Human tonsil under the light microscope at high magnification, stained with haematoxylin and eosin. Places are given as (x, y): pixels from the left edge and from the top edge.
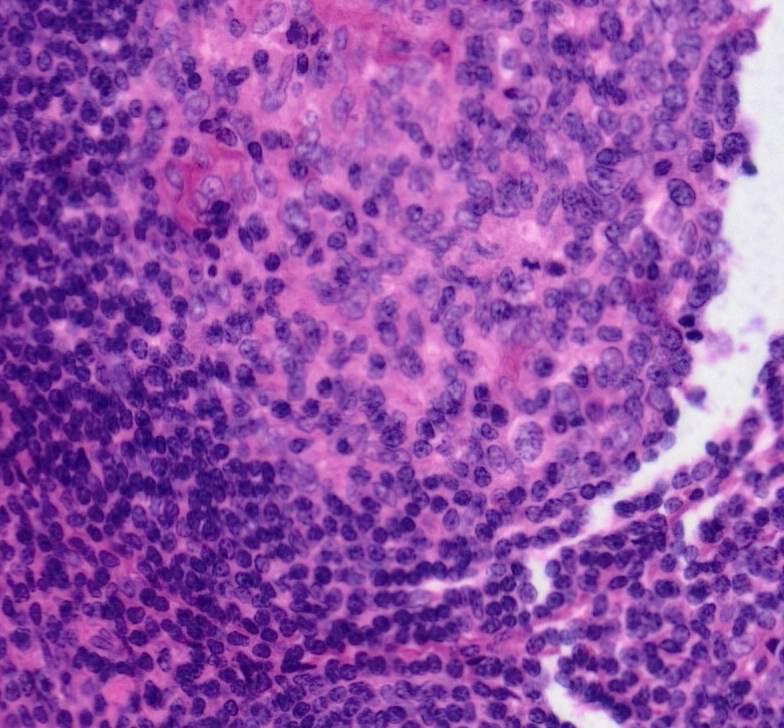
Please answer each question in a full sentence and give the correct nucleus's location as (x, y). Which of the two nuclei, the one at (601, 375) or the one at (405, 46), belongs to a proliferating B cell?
Of these two nuclei, only the one at (601, 375) belongs to a proliferating B cell.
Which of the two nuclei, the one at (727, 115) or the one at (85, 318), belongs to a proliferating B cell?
The nucleus at (727, 115) is the one of the two that belongs to a proliferating B cell.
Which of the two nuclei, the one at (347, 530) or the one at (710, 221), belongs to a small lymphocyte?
Out of the two, it is the nucleus at (347, 530) that belongs to a small lymphocyte.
